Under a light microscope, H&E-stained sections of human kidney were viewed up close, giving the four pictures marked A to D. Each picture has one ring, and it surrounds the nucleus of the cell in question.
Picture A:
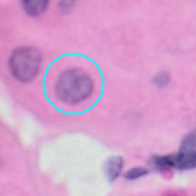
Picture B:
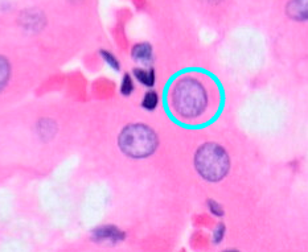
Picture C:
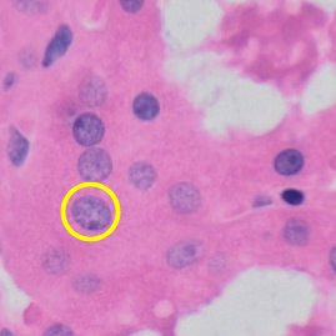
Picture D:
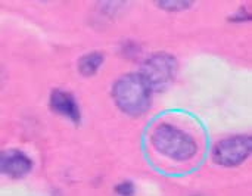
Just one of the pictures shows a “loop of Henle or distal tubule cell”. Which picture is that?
D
